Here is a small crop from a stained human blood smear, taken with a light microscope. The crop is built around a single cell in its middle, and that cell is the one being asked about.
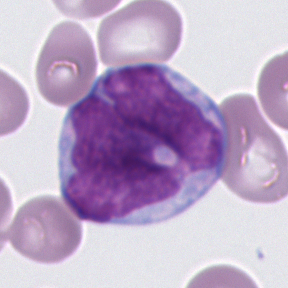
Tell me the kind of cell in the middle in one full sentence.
The cell around which this crop is centred is an atypical promyelocyte.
